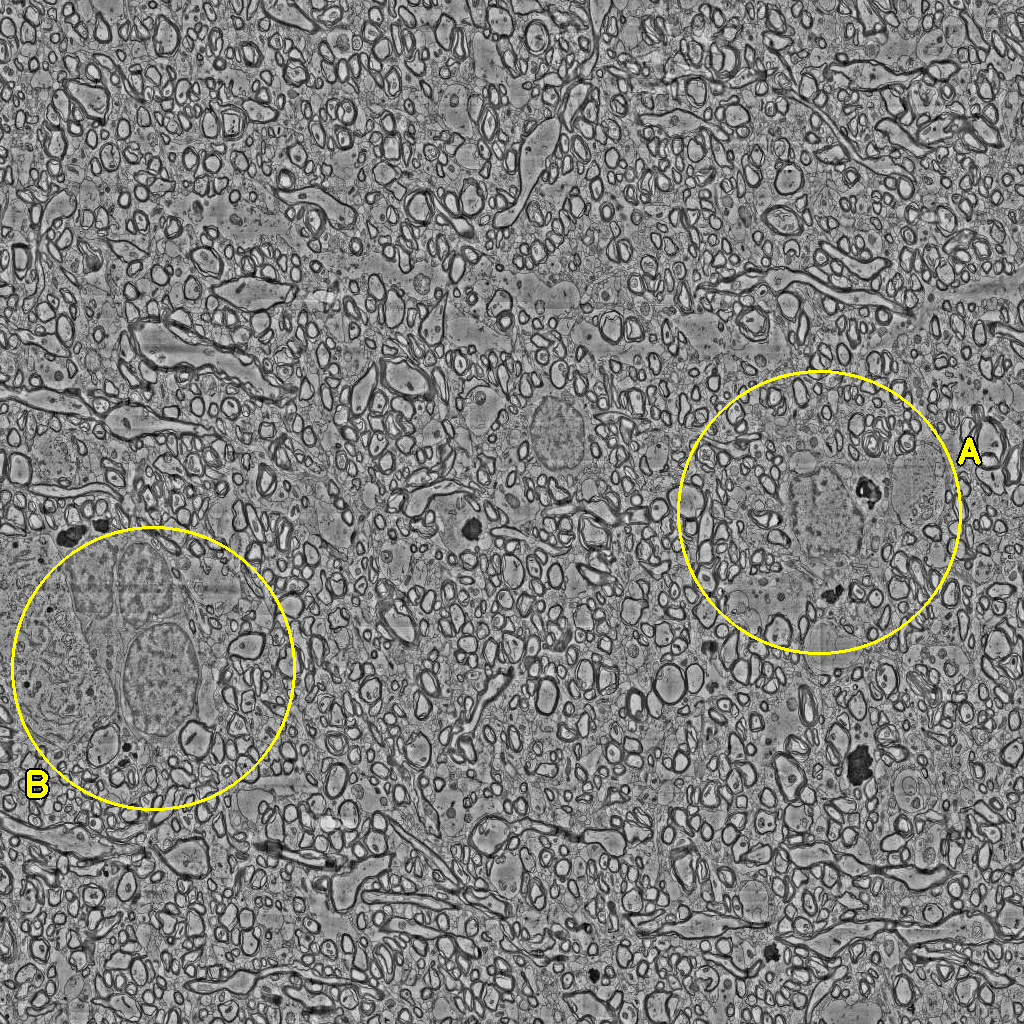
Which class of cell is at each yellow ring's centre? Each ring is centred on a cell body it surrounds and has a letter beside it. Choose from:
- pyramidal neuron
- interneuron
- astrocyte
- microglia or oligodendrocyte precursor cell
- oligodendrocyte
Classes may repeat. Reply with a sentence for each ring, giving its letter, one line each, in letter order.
The ring lettered A is centred on an astrocyte.
The ring lettered B is centred on an oligodendrocyte.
